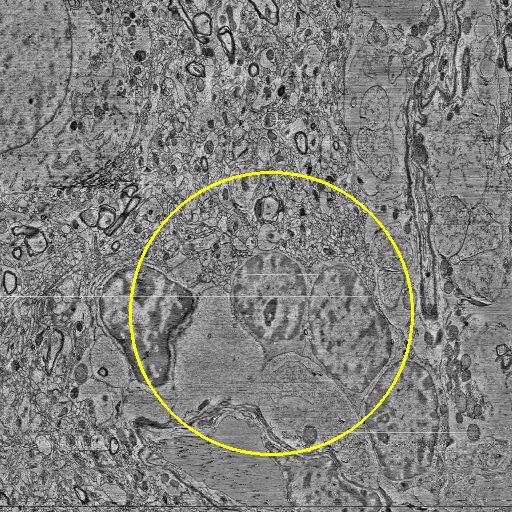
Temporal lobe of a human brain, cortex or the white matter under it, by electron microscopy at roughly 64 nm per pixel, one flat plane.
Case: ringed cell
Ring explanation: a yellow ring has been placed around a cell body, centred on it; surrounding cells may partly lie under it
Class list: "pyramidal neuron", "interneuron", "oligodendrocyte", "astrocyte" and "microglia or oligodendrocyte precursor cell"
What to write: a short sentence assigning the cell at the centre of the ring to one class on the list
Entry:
The cell at the ring's centre is an oligodendrocyte.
